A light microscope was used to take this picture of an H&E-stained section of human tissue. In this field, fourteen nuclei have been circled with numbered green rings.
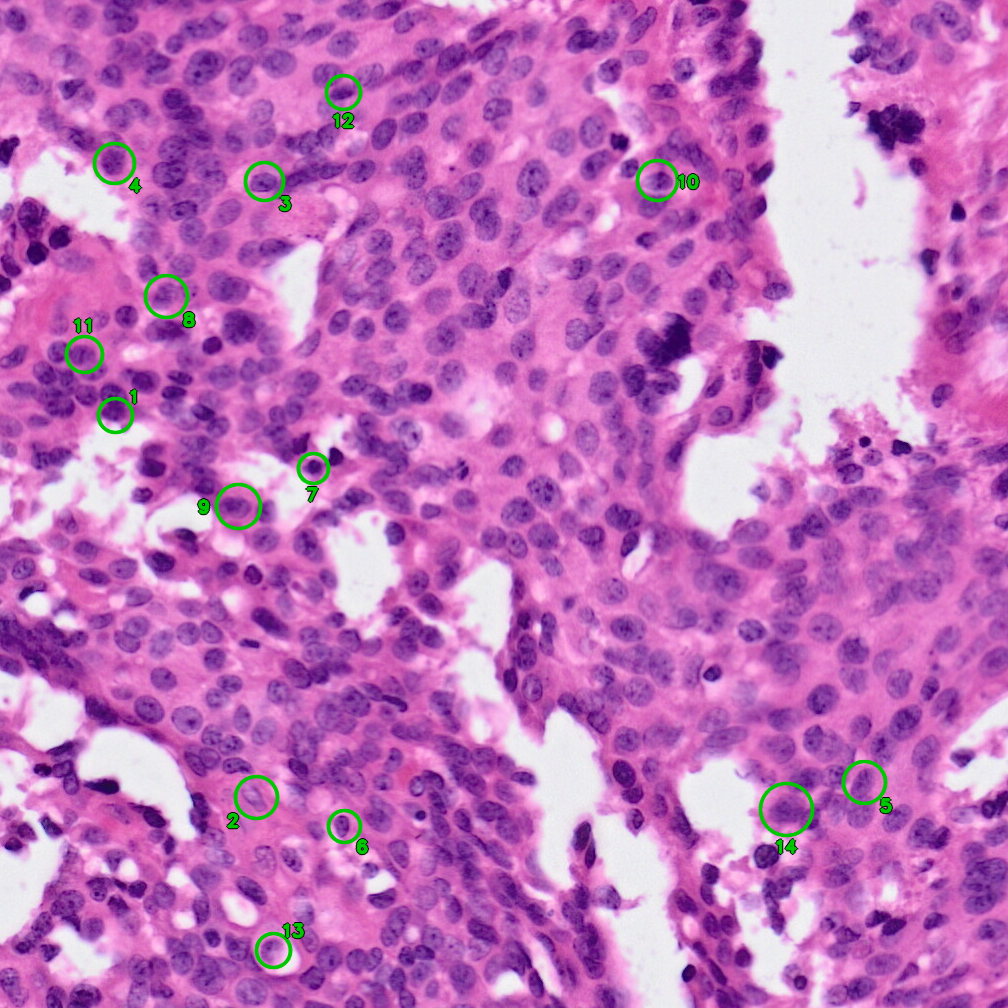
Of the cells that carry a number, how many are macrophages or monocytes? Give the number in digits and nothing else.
5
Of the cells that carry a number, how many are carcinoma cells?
8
